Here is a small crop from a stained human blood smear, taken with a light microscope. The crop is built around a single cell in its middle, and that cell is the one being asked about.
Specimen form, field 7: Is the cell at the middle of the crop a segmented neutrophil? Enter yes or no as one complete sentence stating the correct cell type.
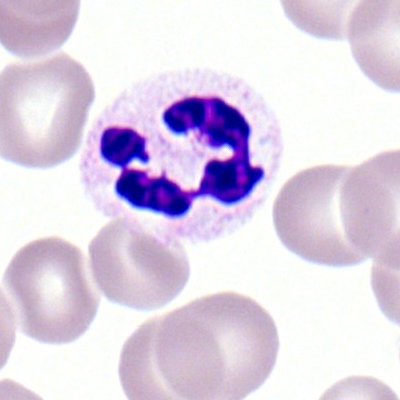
Yes, the cell in the middle of the crop is a segmented neutrophil.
